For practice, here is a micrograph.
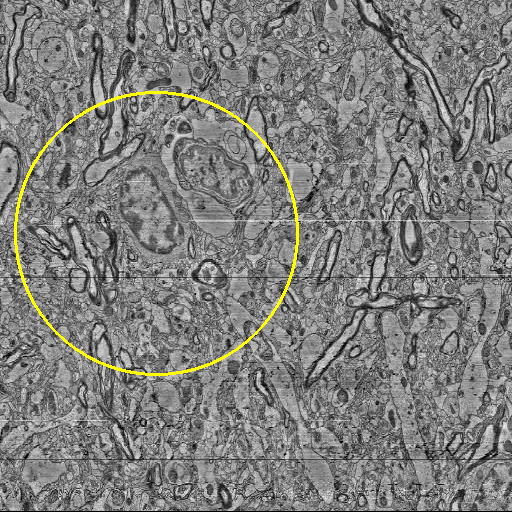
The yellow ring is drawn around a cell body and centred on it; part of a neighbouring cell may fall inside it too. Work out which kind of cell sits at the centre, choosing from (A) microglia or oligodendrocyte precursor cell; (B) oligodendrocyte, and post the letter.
B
